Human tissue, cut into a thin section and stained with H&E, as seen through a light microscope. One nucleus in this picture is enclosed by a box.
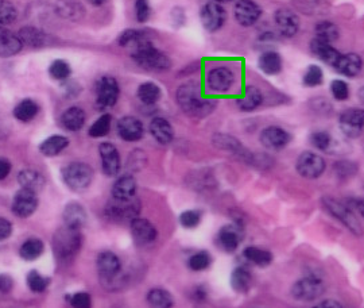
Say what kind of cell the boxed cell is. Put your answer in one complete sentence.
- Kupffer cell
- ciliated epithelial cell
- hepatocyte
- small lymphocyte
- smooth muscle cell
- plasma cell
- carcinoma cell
As for its identity, the boxed cell is a plasma cell.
